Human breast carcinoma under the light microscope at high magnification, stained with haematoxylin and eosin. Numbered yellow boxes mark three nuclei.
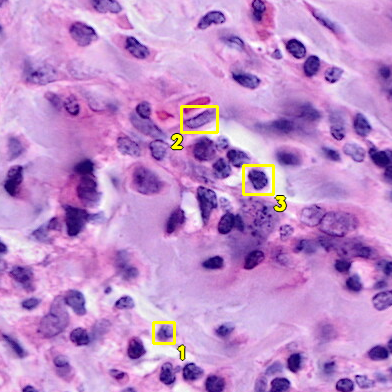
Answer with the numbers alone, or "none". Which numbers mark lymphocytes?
3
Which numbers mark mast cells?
1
